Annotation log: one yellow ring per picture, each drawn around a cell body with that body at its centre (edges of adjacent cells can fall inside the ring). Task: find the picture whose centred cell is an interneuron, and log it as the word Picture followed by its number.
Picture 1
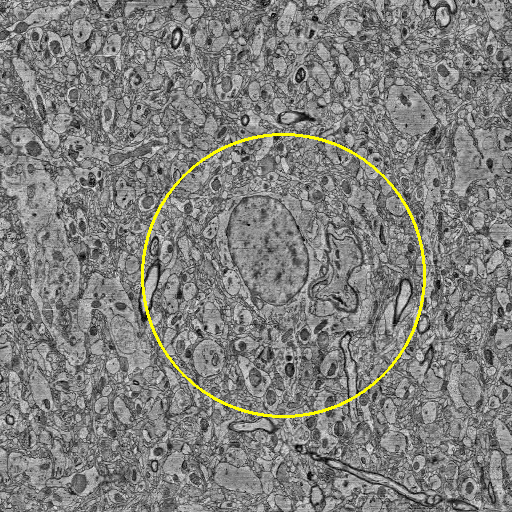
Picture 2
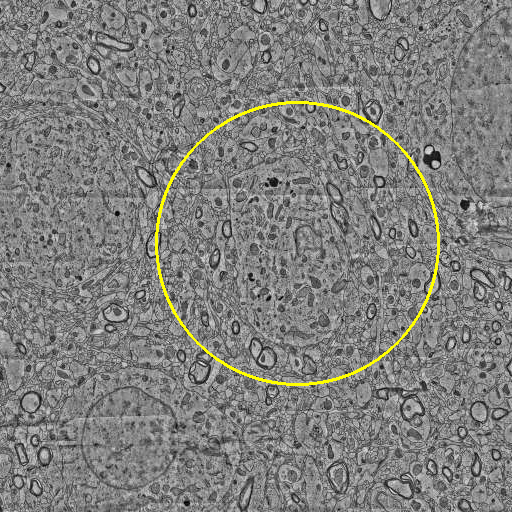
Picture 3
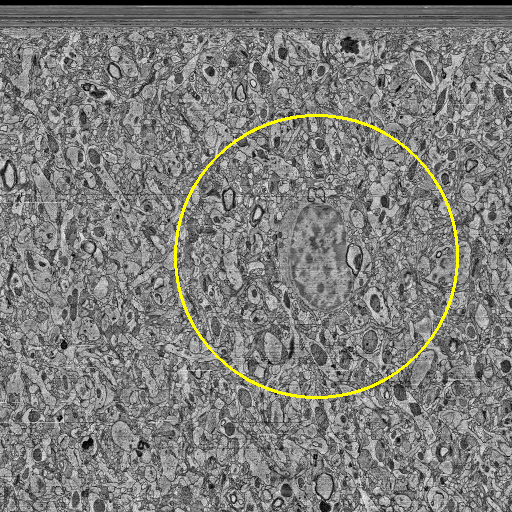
Picture 2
